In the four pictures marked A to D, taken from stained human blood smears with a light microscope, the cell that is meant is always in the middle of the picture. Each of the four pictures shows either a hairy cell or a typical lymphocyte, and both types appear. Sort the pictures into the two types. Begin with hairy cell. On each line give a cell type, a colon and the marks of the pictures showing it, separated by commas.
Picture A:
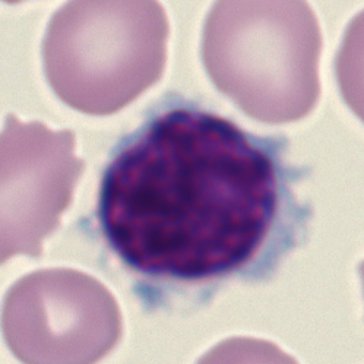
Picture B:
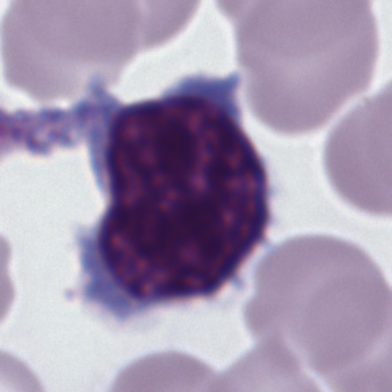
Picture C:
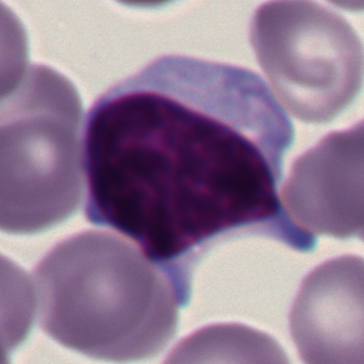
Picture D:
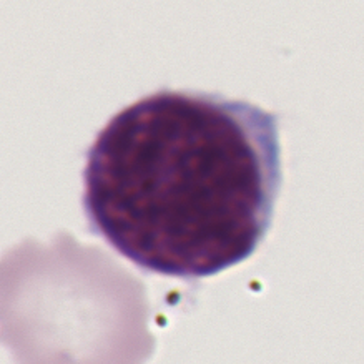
hairy cell: A
typical lymphocyte: B, C, D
